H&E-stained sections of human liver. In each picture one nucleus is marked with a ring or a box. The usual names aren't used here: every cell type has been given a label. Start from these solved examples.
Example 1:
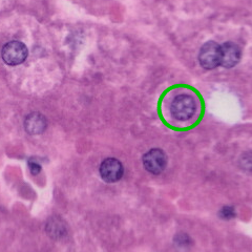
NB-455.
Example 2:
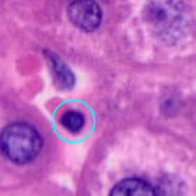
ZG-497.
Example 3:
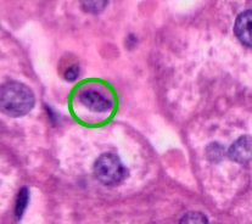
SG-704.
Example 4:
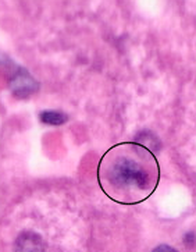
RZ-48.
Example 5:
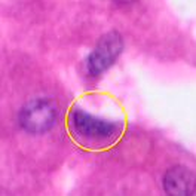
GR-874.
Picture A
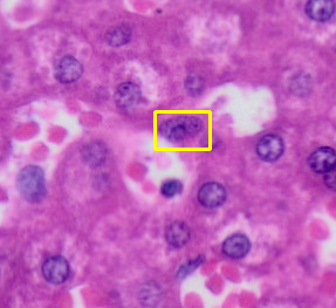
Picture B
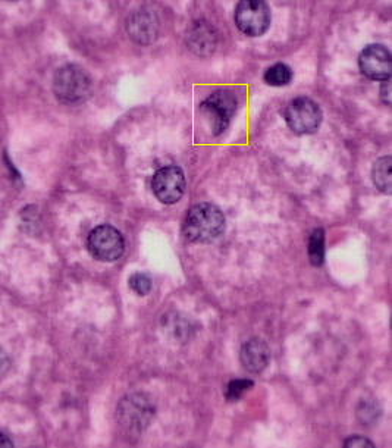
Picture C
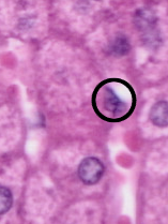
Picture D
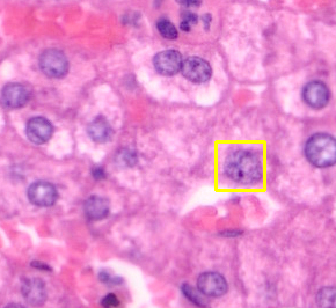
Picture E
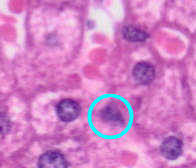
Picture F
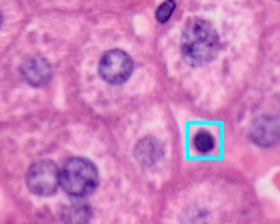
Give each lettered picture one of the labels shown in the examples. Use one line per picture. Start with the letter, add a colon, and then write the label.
A: SG-704.
B: SG-704.
C: RZ-48.
D: NB-455.
E: RZ-48.
F: ZG-497.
